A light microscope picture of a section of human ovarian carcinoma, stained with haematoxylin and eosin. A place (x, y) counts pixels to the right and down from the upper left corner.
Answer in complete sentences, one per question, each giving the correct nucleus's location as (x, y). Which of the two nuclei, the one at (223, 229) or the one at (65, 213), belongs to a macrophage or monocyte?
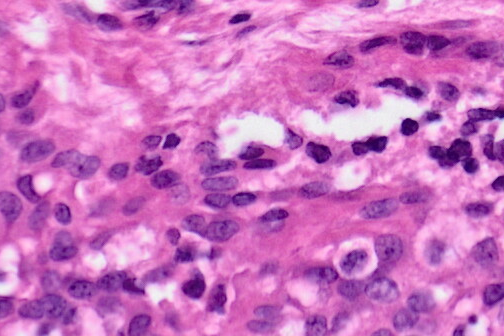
The nucleus at (65, 213) is assigned to a macrophage or monocyte.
